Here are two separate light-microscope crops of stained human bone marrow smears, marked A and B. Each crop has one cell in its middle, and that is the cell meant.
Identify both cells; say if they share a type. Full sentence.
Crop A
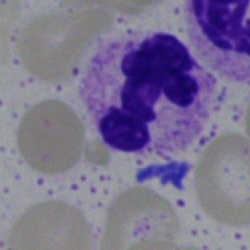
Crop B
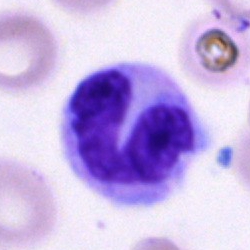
No, crop A shows a segmented neutrophil, and the cell in crop B is a monocyte.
